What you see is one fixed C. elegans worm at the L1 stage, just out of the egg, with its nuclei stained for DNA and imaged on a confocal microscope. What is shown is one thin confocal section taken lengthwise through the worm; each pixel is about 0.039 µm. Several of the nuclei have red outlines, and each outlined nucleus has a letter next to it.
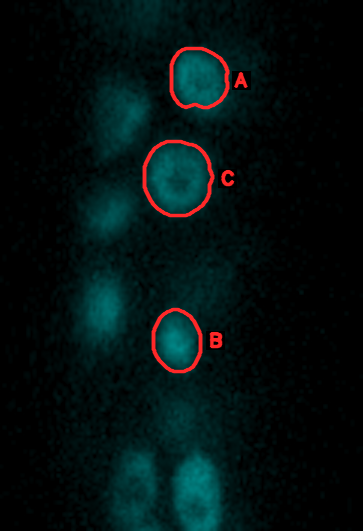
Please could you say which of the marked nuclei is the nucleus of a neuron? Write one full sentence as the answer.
B is the one that belongs to a neuron.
